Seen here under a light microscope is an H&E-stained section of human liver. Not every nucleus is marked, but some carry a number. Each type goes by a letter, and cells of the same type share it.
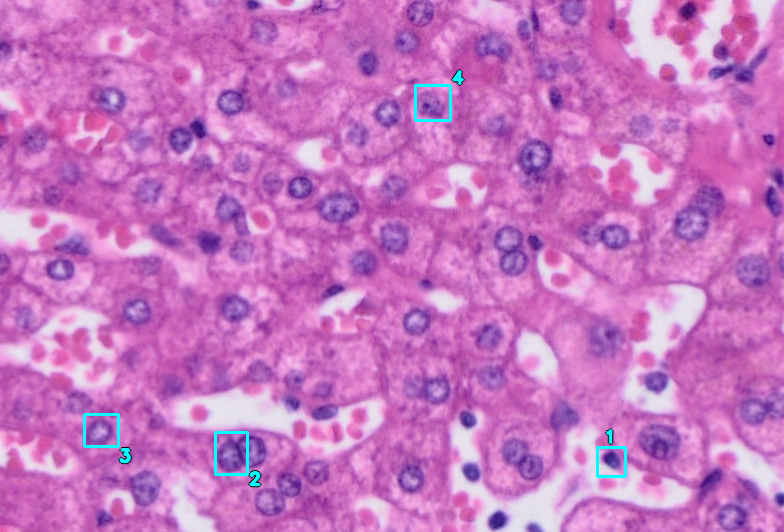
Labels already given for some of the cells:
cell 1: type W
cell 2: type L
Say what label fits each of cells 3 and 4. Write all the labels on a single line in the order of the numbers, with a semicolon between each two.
type L; type L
